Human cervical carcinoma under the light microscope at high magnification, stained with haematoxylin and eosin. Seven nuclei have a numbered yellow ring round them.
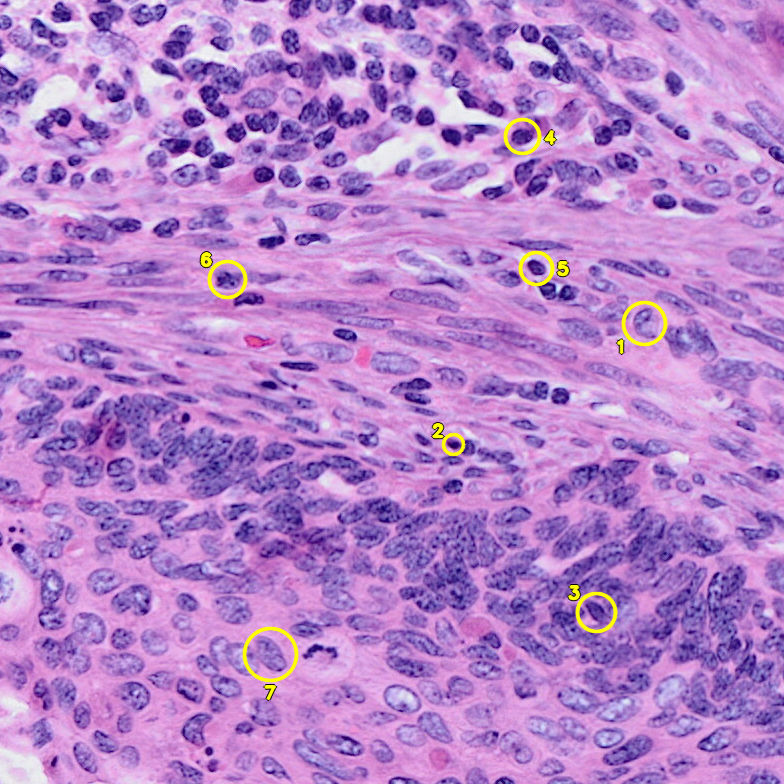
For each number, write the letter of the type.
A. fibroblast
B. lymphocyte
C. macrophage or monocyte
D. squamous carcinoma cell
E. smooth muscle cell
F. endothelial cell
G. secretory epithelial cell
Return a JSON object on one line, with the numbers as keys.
{"1": "E", "2": "B", "3": "D", "4": "B", "5": "B", "6": "B", "7": "D"}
